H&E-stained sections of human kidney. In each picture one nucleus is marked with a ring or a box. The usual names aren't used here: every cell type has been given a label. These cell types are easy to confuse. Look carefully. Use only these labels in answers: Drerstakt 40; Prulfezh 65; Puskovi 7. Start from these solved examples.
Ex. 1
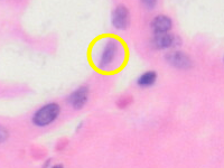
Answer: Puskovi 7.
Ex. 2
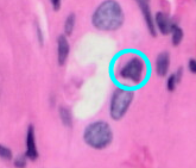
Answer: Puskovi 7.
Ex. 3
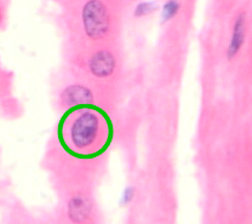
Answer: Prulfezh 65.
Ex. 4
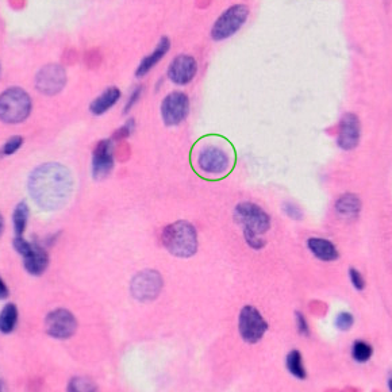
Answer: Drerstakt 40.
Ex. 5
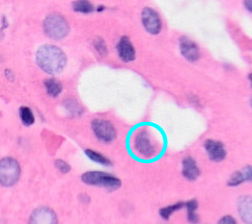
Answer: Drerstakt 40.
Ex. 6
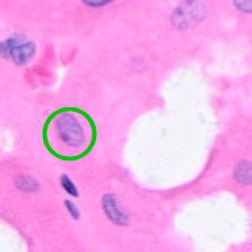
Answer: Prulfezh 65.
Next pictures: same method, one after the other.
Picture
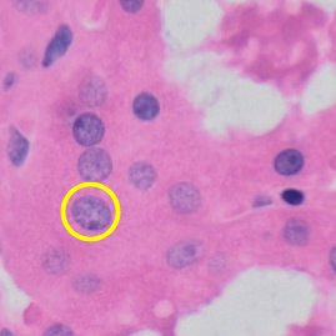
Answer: Prulfezh 65.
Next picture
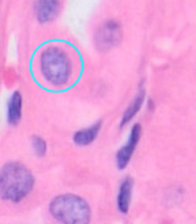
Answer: Drerstakt 40.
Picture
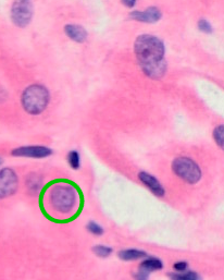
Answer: Prulfezh 65.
